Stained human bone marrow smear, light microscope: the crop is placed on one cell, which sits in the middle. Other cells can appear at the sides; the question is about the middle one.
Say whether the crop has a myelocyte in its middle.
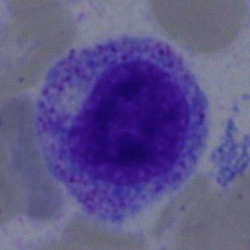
yes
